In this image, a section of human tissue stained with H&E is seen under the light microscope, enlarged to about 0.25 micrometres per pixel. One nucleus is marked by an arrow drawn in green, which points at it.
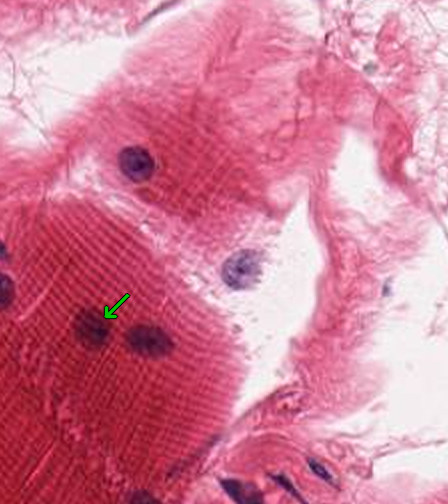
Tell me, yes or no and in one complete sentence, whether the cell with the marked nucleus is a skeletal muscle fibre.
Yes, the marked nucleus belongs to a skeletal muscle fibre in this image.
